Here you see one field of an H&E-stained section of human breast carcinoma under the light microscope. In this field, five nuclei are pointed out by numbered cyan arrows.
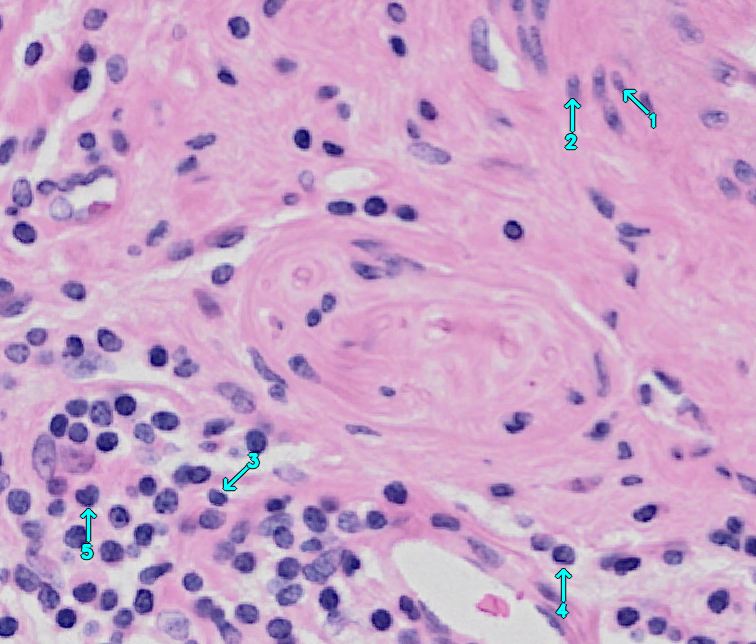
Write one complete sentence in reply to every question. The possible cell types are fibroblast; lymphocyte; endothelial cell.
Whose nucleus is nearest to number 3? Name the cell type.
The nearest nucleus to number 3 belongs to a lymphocyte.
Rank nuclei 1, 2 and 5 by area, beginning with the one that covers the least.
The order from the smallest nucleus to the largest is 1, 2, 5.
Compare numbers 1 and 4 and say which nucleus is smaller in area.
Nucleus 1 covers less area, with nucleus 4 about 3 times as large.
